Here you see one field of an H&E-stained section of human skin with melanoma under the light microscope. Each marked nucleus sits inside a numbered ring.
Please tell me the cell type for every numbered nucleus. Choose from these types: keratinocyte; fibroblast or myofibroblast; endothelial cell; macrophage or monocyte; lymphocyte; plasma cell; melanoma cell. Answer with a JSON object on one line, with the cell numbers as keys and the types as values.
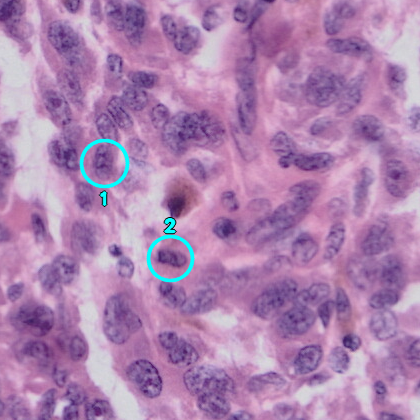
{"1": "melanoma cell", "2": "macrophage or monocyte"}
